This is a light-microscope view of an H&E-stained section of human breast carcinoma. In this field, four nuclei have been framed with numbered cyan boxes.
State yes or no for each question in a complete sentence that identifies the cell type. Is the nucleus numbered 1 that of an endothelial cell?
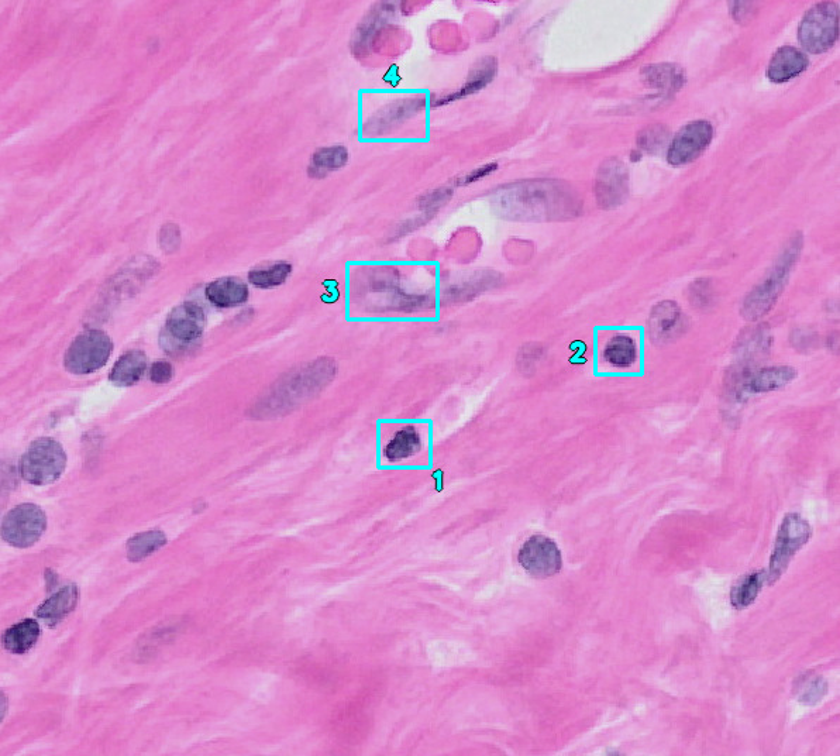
No, cell 1 does not represent an endothelial cell; it represents a lymphocyte.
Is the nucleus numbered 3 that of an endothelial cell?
Yes, regarding cell number 3, it is an endothelial cell.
